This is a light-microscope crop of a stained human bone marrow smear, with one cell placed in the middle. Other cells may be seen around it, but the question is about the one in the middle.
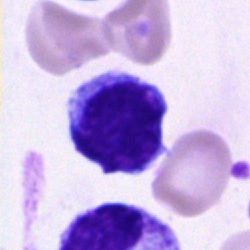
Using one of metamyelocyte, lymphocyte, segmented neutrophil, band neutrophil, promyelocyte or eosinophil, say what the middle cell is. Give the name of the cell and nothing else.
lymphocyte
